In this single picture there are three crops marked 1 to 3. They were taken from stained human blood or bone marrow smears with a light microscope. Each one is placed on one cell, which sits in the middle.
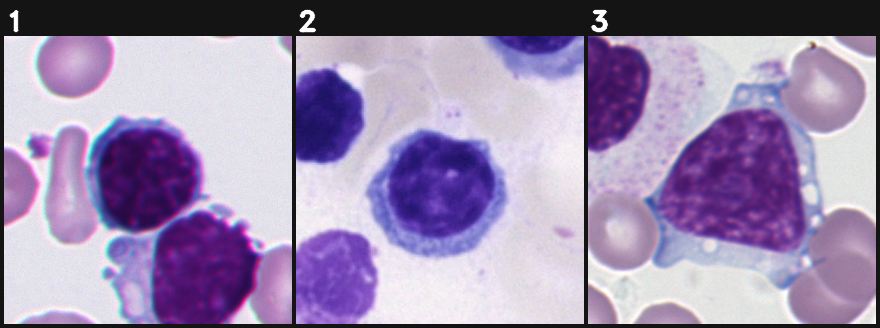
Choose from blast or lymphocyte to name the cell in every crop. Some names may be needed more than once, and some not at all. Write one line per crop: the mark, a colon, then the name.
1: lymphocyte
2: lymphocyte
3: blast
